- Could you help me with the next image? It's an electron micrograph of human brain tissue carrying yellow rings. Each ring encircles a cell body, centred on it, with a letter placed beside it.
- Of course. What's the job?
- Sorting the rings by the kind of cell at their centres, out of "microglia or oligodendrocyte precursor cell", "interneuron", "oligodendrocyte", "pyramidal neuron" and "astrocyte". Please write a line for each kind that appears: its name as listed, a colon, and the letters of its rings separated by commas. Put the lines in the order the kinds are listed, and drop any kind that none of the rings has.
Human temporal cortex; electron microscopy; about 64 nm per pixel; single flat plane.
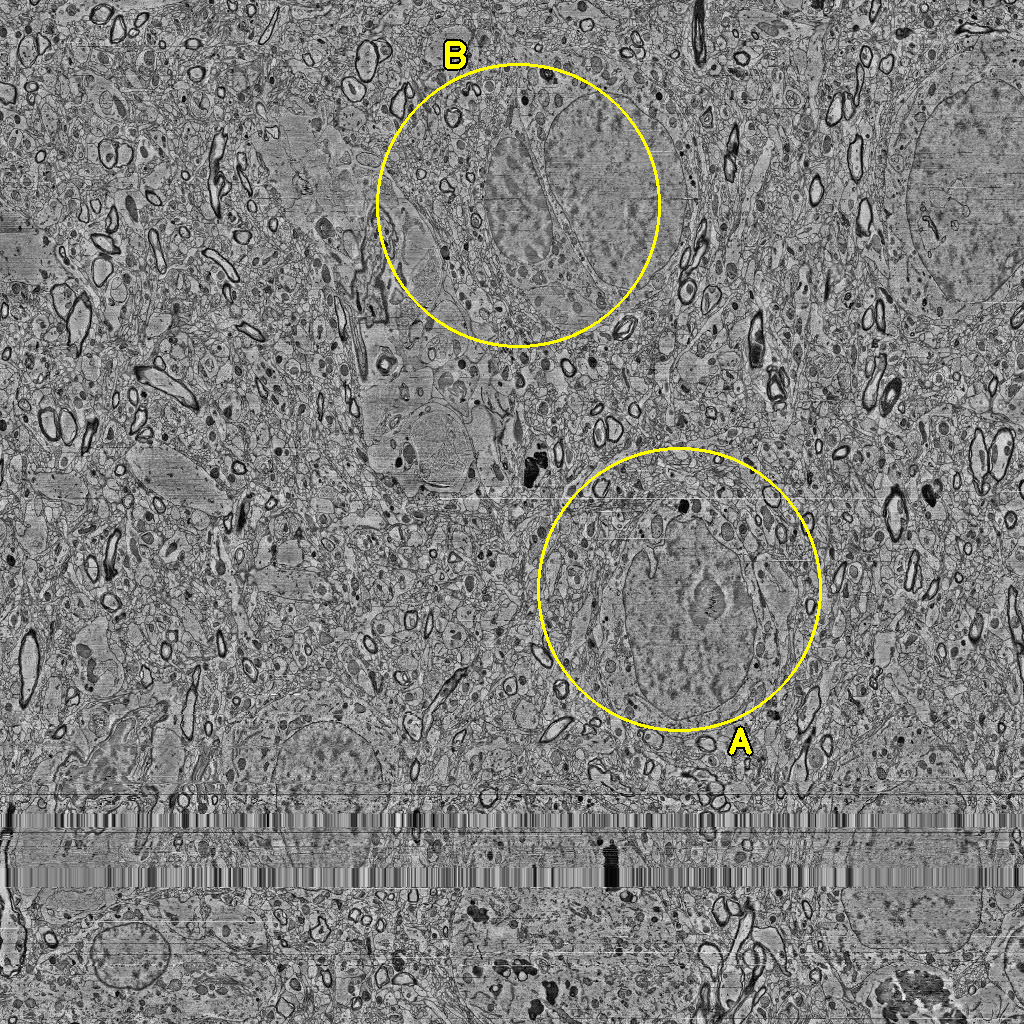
oligodendrocyte: B
pyramidal neuron: A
